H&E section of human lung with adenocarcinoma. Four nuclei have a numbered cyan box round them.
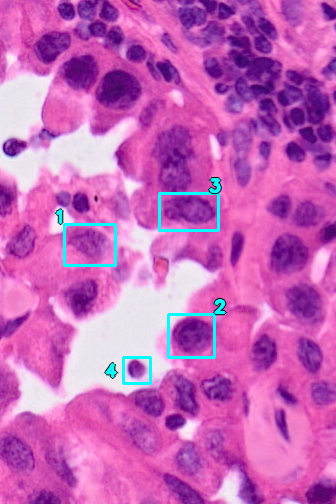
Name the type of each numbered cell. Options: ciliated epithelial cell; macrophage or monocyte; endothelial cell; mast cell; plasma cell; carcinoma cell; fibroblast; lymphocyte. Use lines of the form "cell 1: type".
cell 1: carcinoma cell
cell 2: carcinoma cell
cell 3: carcinoma cell
cell 4: lymphocyte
